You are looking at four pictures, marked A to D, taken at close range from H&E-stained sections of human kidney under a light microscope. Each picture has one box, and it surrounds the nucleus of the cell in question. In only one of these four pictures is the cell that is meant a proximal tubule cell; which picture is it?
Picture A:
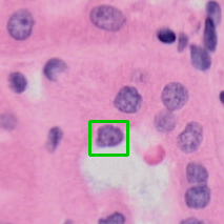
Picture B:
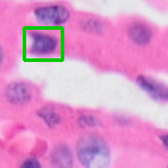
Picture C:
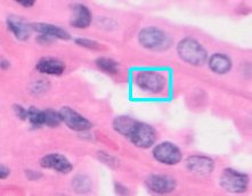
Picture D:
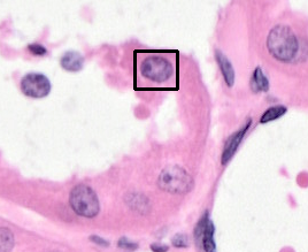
D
